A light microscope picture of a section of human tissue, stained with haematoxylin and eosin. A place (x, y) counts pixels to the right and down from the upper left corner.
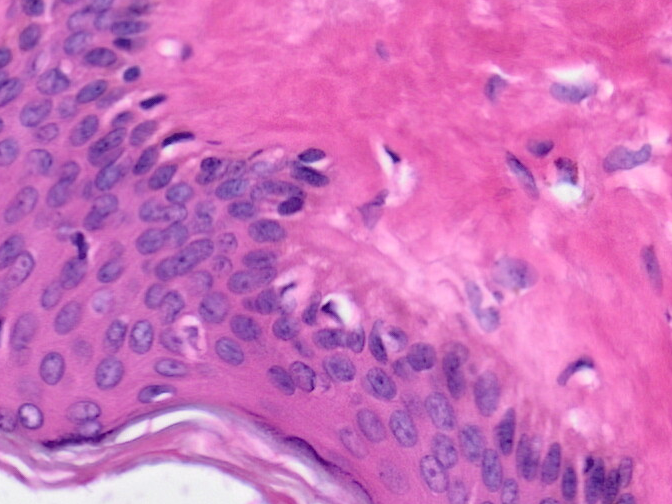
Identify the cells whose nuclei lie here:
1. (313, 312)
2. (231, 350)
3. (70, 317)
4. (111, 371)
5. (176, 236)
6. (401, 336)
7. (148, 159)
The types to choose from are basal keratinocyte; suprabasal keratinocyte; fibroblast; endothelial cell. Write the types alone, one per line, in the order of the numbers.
basal keratinocyte
suprabasal keratinocyte
suprabasal keratinocyte
suprabasal keratinocyte
suprabasal keratinocyte
basal keratinocyte
basal keratinocyte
